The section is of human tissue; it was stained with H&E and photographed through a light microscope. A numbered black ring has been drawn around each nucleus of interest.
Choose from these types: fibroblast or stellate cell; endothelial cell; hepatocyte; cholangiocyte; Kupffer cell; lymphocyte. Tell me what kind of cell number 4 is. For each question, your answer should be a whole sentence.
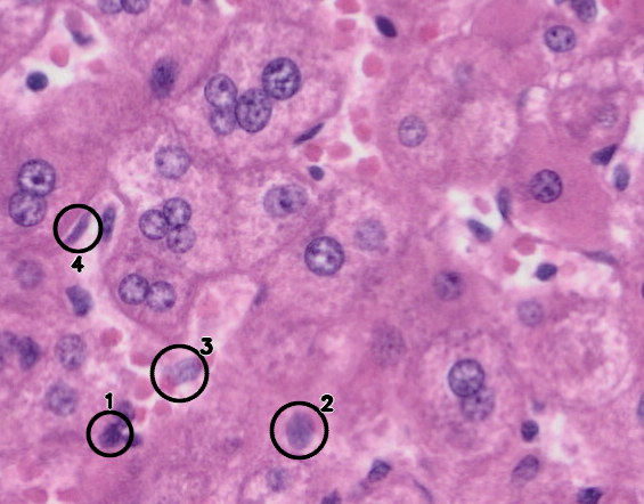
In the marked set, the cell given number 4 is a Kupffer cell.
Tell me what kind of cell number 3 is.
That cell with number 3 is a Kupffer cell.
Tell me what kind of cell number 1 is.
The numbered cell 1 is identified here as a fibroblast or stellate cell.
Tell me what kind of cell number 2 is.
The cell that goes by number 2 is an endothelial cell.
